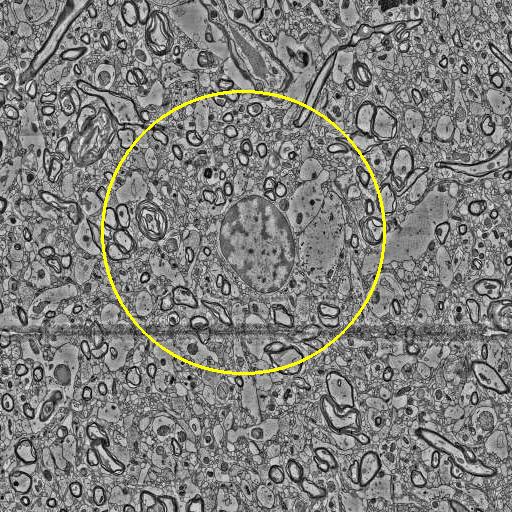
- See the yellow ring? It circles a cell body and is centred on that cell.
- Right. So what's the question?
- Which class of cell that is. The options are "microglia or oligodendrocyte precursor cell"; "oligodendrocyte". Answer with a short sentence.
The centre of the ring holds a microglial cell or oligodendrocyte precursor cell.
